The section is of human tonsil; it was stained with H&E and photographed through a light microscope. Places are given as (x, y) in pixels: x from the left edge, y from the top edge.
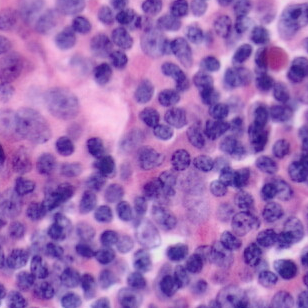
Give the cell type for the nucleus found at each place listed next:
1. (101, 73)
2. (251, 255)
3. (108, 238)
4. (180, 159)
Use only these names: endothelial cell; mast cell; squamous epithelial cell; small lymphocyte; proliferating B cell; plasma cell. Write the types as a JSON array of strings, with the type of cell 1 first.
["endothelial cell", "plasma cell", "small lymphocyte", "plasma cell"]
